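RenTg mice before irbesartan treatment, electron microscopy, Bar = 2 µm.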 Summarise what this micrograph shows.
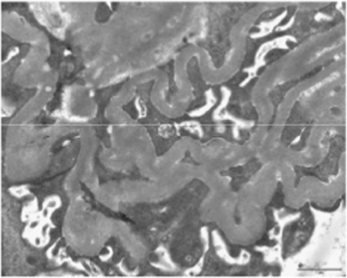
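Glomerular capillary wall with podocytes, showing a broad, grey basement membrane that winds in irregular loops across the field. Foot processes are not seen as separate small feet; the epithelial covering lies as a continuous layer along the membrane, with narrow pale urinary spaces between loops.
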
